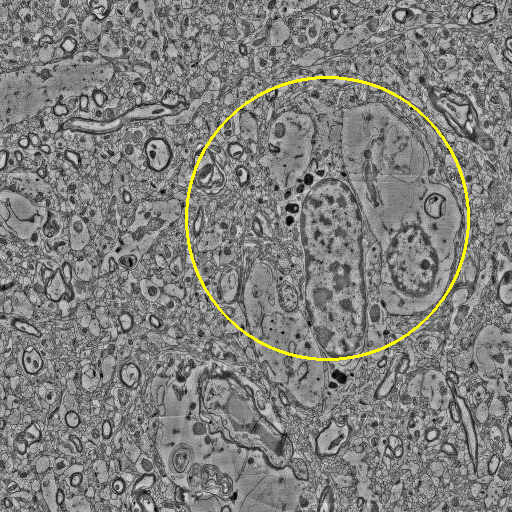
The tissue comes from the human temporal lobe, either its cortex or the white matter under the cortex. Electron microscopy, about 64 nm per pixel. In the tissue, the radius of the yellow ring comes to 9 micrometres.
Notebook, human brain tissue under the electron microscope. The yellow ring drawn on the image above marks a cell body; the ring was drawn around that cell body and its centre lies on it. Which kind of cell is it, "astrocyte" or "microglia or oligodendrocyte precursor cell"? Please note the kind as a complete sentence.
The marked cell body is that of a microglial cell or oligodendrocyte precursor cell.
